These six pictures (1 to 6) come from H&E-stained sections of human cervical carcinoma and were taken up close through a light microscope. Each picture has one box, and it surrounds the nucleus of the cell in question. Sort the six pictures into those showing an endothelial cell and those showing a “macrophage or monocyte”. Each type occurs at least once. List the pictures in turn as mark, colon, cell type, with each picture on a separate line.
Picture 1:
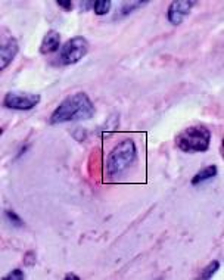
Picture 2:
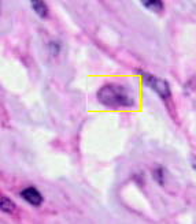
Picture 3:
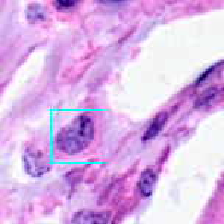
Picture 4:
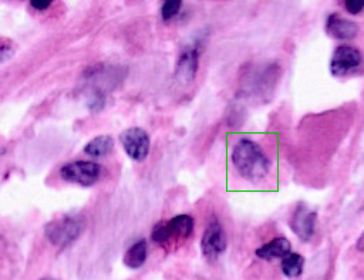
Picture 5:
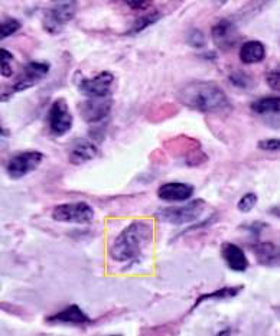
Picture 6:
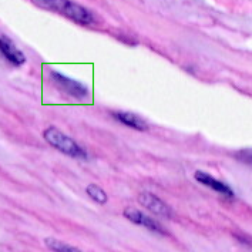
1: endothelial cell
2: macrophage or monocyte
3: macrophage or monocyte
4: macrophage or monocyte
5: macrophage or monocyte
6: endothelial cell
